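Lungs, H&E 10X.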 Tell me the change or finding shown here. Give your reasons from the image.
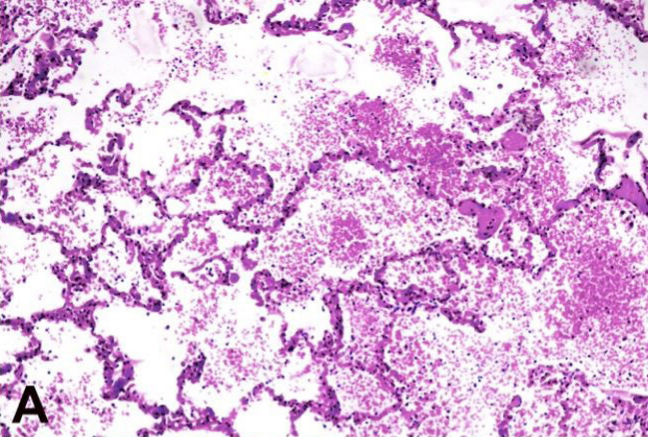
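Intra-alveolar hemorrhage. Many alveolar spaces are filled with masses of small red-pink red blood cells. The blood lies within air spaces bounded by thin alveolar walls.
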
